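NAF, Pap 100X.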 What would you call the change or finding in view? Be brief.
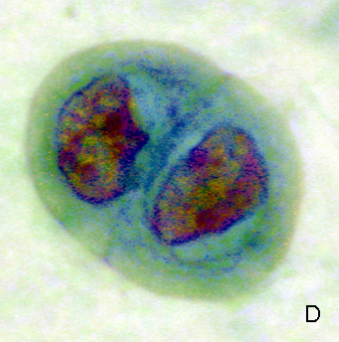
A: Coarsely granular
